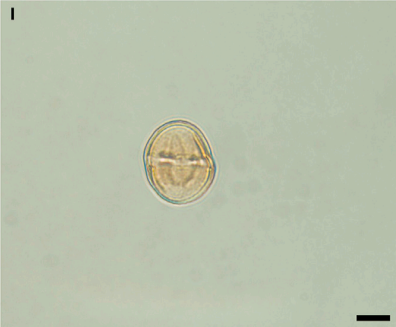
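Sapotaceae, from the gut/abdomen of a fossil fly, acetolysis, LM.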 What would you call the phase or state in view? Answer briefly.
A: Equatorial view.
